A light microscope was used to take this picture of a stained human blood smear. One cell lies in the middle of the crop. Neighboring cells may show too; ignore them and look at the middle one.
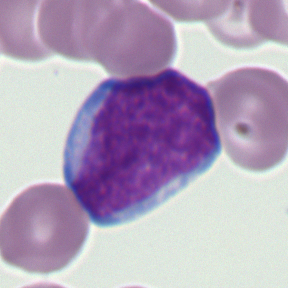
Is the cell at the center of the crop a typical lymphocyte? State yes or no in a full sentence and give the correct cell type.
No, what lies at the heart of the crop is a myeloblast, not a typical lymphocyte.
